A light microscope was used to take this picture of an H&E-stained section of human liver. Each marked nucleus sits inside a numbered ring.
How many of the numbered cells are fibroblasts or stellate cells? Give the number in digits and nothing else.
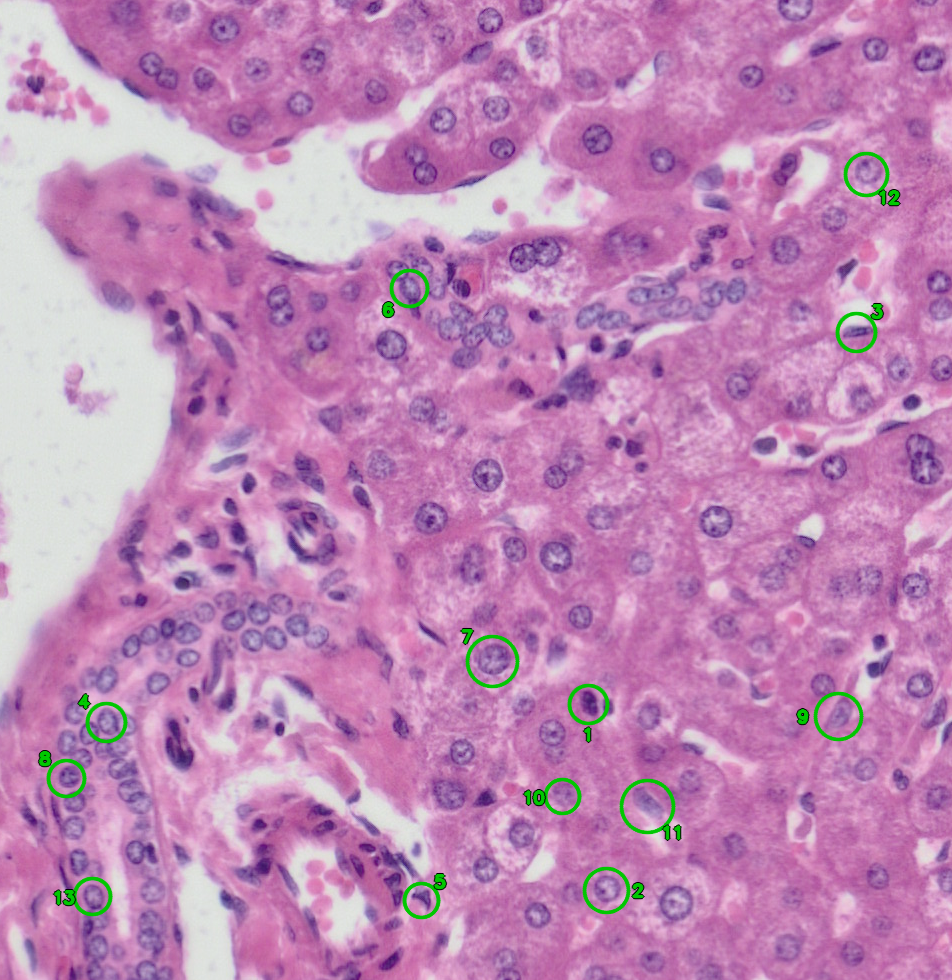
2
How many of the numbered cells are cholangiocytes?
4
